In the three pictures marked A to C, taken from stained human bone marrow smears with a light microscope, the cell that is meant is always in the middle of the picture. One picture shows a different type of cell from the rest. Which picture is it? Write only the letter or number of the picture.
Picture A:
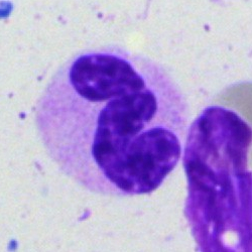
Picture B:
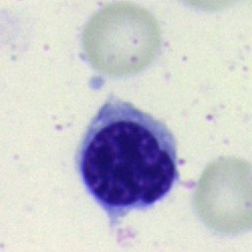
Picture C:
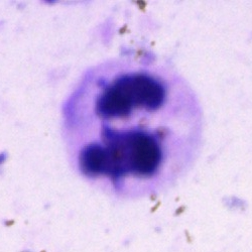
B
